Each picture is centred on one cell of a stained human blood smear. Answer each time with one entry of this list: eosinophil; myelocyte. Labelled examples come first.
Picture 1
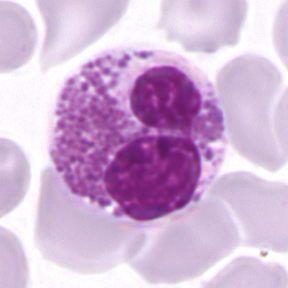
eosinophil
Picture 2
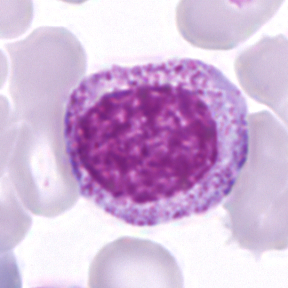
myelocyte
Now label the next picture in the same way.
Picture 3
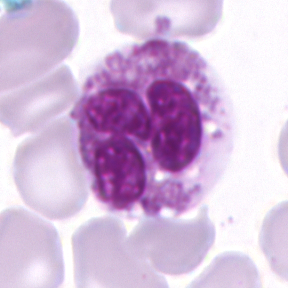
eosinophil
